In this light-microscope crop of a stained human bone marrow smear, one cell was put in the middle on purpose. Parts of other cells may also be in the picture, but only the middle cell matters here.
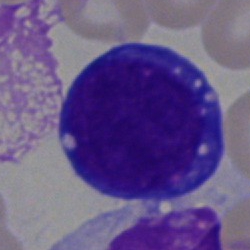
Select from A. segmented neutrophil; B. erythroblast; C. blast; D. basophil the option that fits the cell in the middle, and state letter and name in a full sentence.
Since the cell in the centre is a blast, the correct option is C.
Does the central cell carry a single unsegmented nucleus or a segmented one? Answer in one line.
The nucleus amounts to one compact mass with a round, oval or kidney-shaped outline.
